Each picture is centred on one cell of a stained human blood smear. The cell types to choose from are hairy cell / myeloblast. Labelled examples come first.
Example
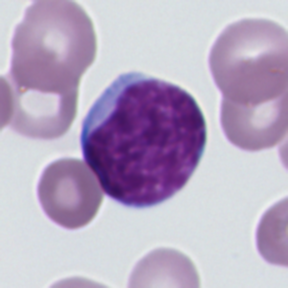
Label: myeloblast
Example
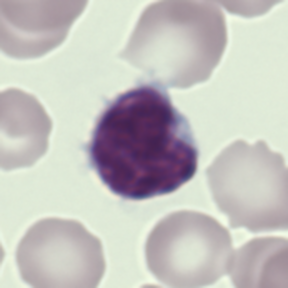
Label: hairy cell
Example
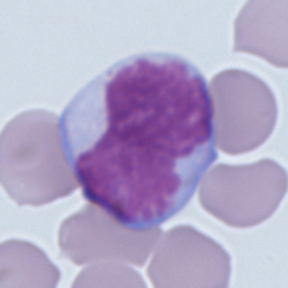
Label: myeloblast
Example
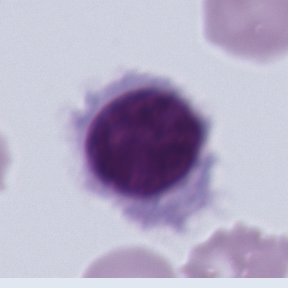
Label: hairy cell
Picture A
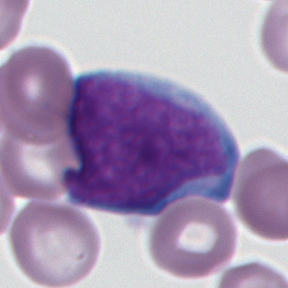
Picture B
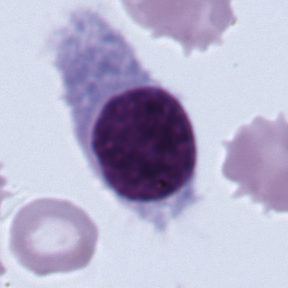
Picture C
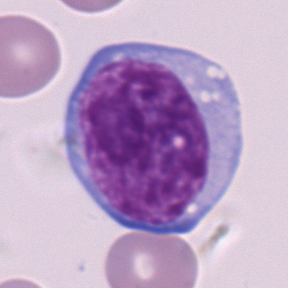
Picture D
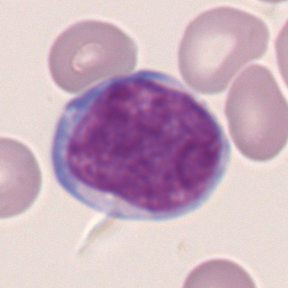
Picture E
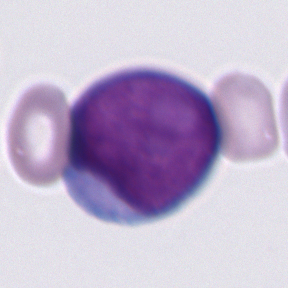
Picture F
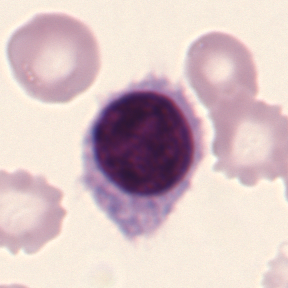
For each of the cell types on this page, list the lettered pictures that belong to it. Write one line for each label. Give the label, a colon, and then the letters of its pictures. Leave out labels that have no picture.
hairy cell: B, F
myeloblast: A, C, D, E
